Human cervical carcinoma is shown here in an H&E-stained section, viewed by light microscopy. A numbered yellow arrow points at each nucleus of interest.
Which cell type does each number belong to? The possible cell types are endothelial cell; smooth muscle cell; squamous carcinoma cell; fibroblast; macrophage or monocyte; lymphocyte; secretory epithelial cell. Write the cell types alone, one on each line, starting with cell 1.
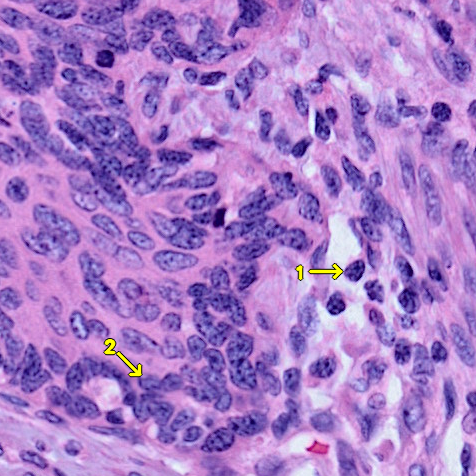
lymphocyte
squamous carcinoma cell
